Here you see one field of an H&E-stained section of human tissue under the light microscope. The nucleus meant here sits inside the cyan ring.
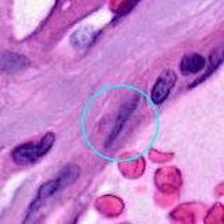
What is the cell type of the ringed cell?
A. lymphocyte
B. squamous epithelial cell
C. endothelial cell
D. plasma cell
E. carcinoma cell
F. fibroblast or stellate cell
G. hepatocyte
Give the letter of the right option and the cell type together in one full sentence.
As the ringed cell is an endothelial cell, the correct choice is option C.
